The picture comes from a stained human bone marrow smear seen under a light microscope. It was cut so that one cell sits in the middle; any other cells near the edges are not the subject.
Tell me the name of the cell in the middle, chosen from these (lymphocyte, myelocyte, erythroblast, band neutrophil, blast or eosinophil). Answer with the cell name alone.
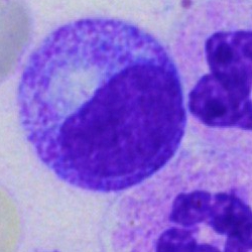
myelocyte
